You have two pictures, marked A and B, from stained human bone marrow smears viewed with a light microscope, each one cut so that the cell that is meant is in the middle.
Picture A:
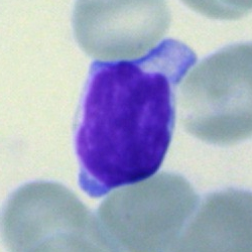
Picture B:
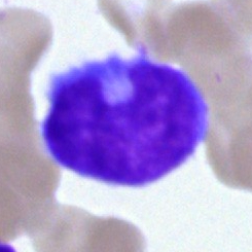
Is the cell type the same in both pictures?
no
